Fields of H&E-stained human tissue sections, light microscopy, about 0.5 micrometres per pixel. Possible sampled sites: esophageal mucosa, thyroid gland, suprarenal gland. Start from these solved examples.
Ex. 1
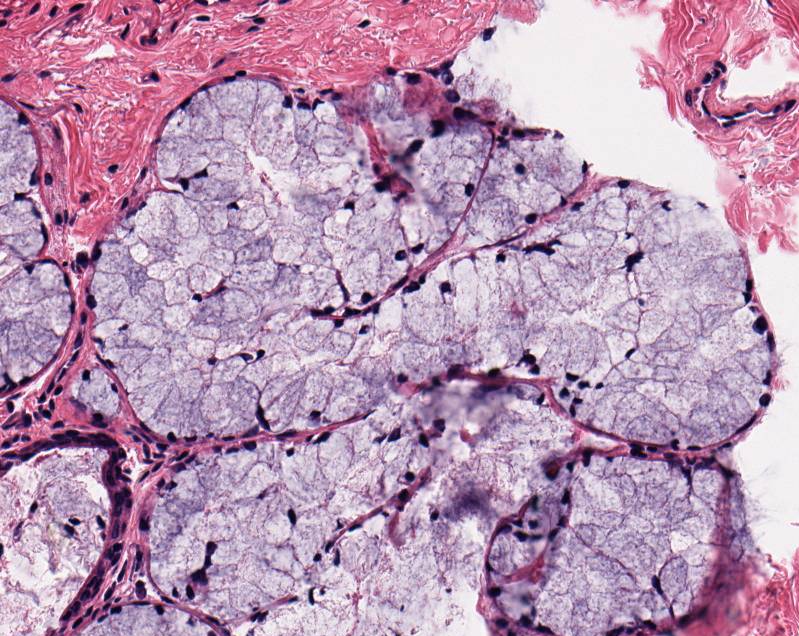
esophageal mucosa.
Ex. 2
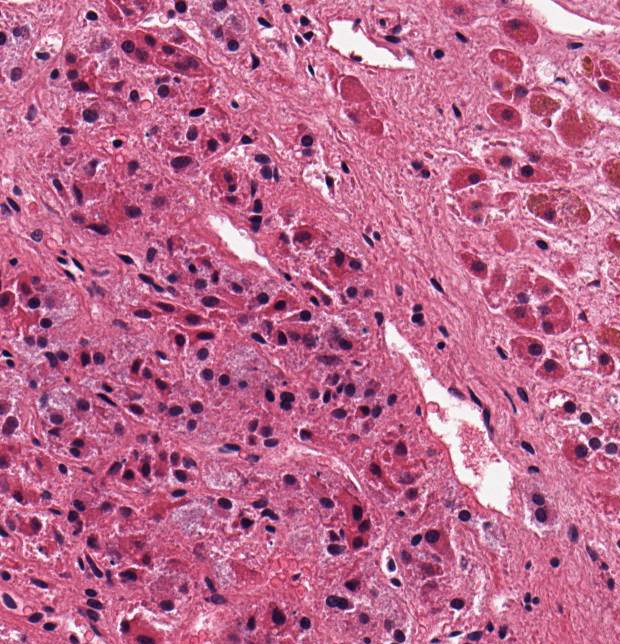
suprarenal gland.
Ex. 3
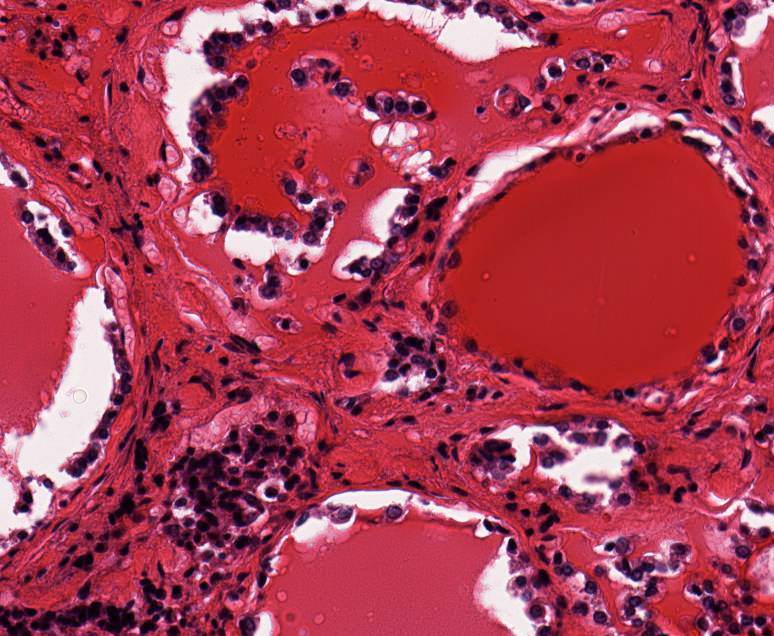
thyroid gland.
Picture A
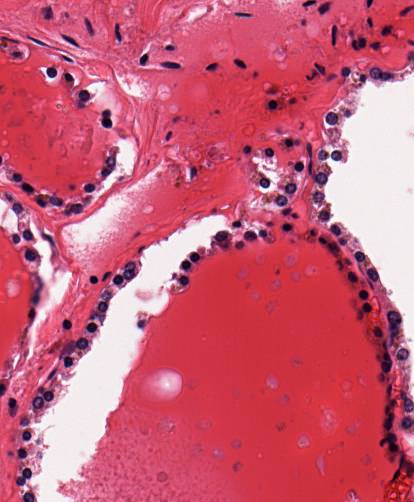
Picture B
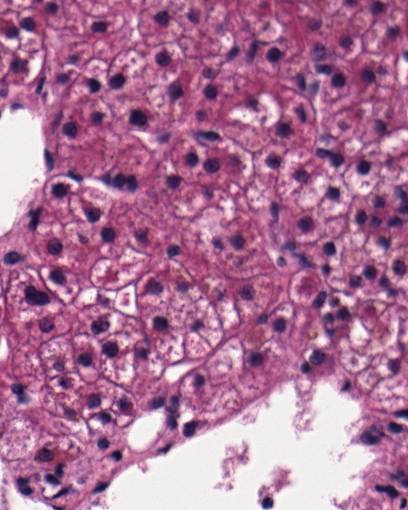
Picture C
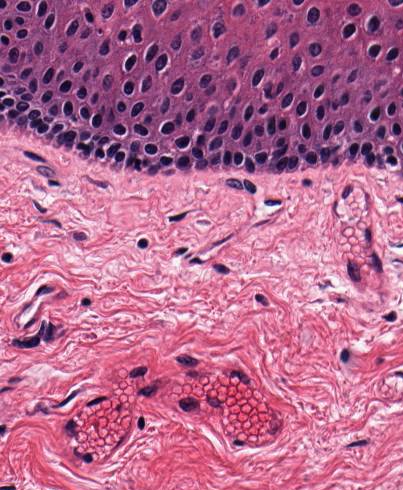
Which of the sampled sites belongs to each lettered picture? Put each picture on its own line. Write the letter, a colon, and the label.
A: thyroid gland.
B: suprarenal gland.
C: esophageal mucosa.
